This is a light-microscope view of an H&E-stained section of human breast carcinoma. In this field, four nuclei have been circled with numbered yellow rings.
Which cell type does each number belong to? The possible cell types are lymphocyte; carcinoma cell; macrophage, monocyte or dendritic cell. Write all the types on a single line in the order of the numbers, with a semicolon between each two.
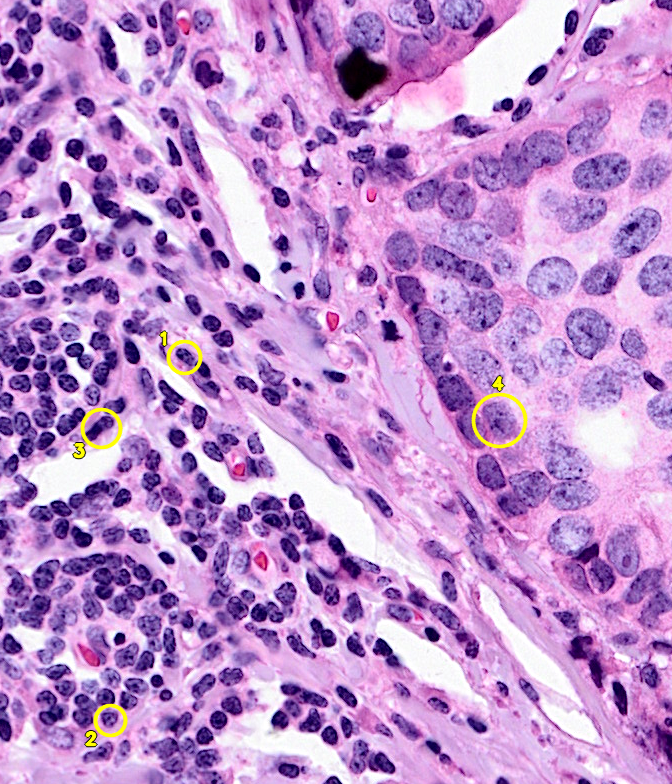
lymphocyte; lymphocyte; lymphocyte; carcinoma cell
